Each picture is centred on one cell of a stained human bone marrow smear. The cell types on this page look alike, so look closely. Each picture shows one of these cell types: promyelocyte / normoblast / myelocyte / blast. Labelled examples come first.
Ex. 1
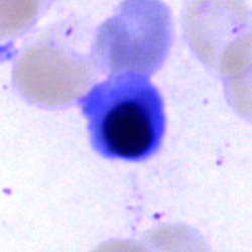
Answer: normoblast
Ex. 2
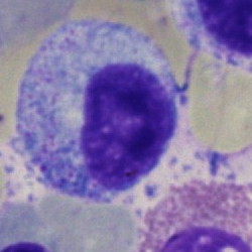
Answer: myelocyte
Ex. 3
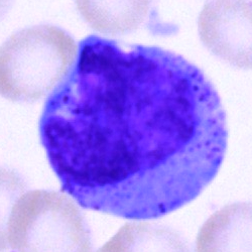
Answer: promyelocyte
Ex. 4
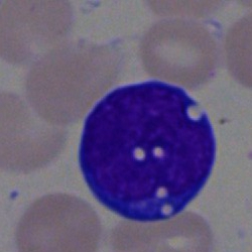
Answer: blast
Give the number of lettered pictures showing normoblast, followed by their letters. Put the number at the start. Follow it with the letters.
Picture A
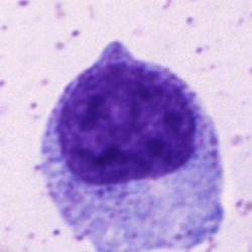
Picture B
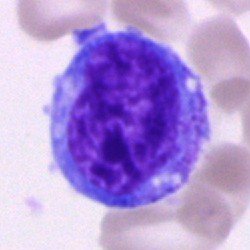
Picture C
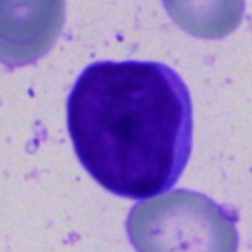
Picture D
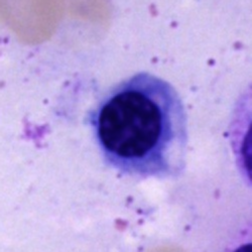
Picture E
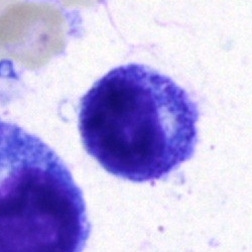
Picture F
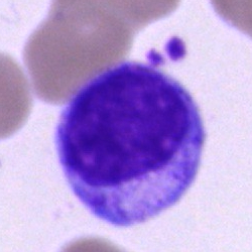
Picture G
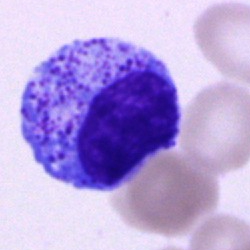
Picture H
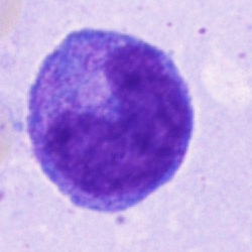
1, namely D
